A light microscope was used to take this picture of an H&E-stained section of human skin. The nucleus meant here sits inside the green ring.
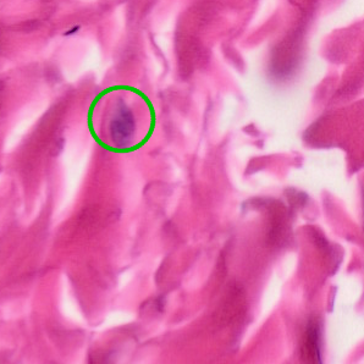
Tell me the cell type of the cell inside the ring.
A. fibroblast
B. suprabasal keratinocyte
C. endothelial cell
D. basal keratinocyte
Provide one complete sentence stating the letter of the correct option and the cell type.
In this section the cell inside the ring is a fibroblast; option A is therefore correct.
